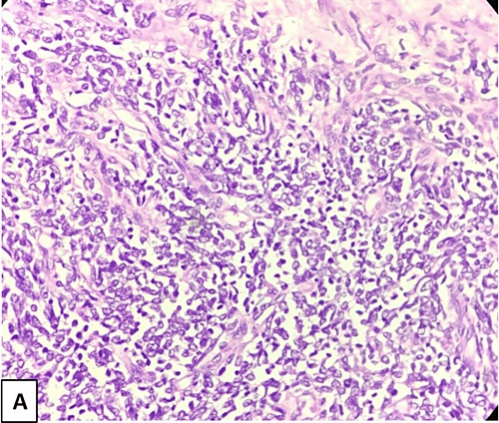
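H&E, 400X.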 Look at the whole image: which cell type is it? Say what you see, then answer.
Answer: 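Sheets of densely packed small cells. Cells are oval to spindle-shaped. Little cytoplasm around each nucleus.
Small ovoid tumor cells.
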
